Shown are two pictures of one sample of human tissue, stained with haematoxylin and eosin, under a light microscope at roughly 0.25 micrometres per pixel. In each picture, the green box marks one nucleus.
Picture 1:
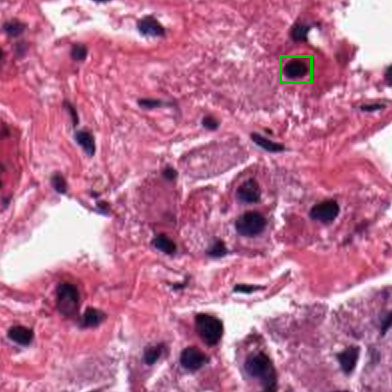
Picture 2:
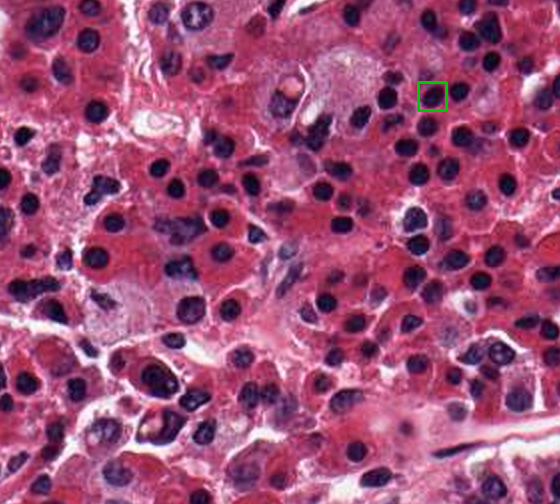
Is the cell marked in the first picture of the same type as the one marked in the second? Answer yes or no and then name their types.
Yes, both are anterior pituitary cells.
